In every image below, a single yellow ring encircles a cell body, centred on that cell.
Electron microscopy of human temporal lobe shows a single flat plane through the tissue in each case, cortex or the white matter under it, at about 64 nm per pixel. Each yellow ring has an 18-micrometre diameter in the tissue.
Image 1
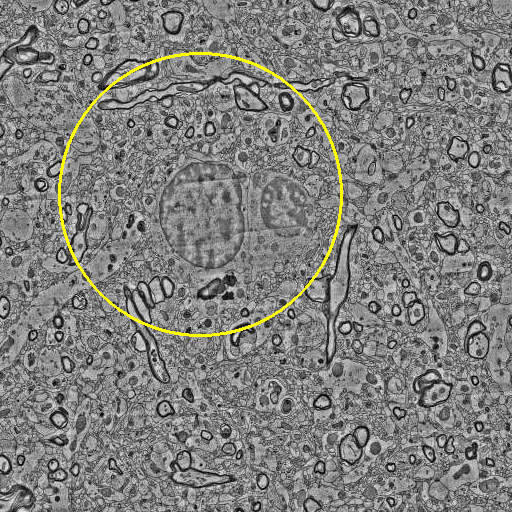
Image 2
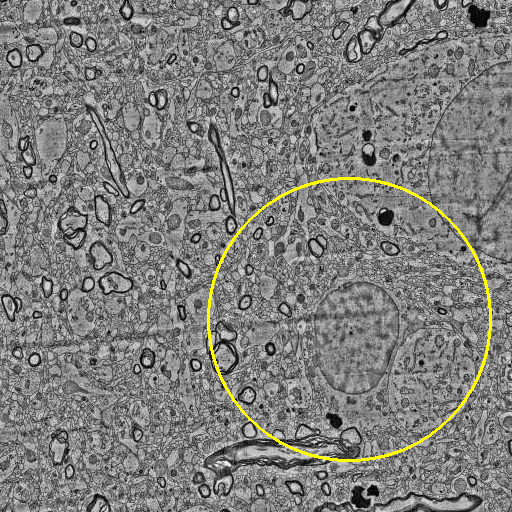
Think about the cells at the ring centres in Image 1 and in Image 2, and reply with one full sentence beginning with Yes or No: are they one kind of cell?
Yes, the cells centred in the rings of Image 1 and Image 2 are one kind of cell.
